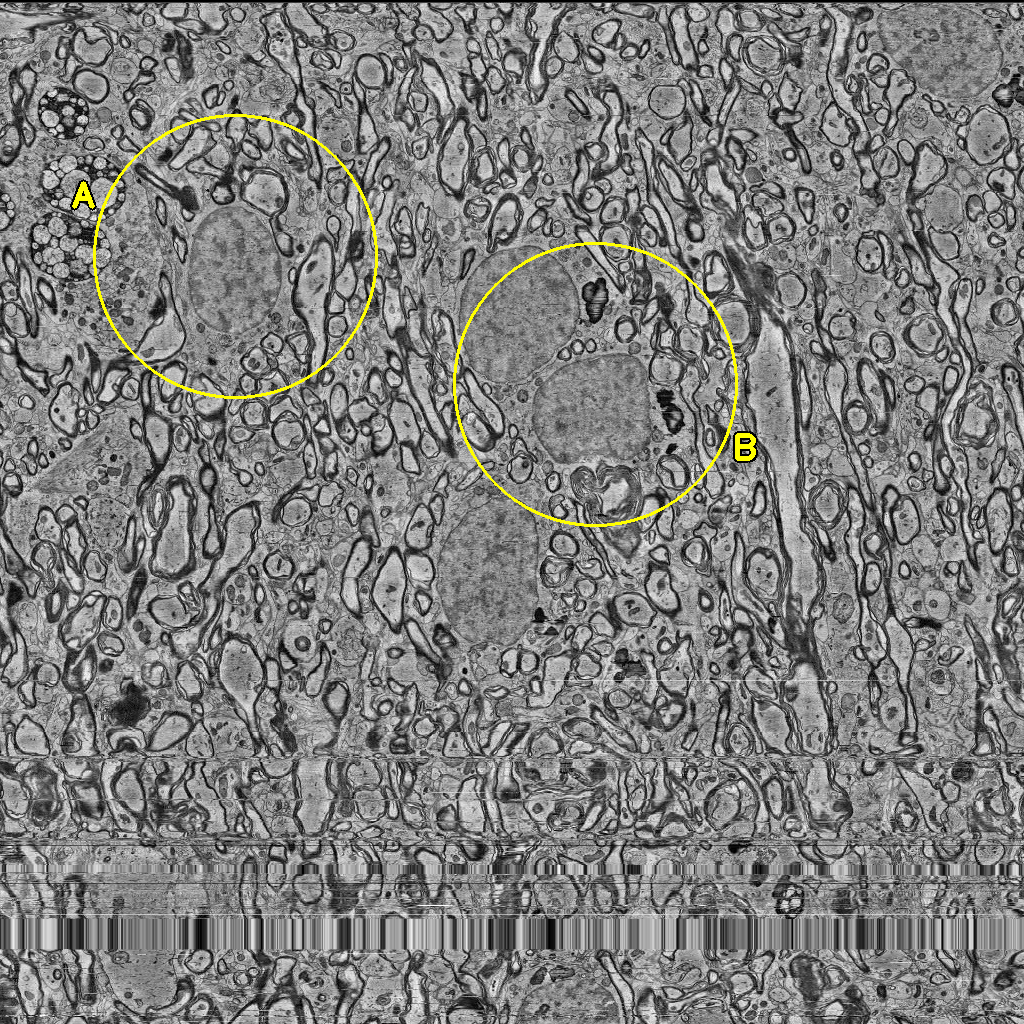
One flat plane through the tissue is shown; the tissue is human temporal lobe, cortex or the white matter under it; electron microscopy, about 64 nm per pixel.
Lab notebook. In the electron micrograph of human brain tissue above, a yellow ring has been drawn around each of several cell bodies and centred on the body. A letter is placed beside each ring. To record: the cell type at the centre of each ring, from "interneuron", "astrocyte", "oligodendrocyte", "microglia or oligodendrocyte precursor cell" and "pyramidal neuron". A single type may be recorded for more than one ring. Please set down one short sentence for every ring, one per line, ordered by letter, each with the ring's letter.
The centre of ring A is occupied by an oligodendrocyte.
The centre of ring B is occupied by an oligodendrocyte.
